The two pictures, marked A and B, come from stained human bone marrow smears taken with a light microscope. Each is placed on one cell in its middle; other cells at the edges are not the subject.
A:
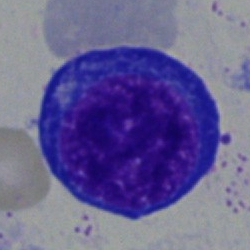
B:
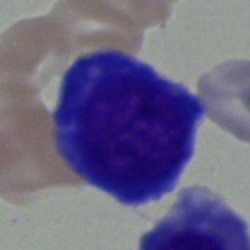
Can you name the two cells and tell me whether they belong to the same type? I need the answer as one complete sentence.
Yes, both crops show proerythroblasts, and the two match.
